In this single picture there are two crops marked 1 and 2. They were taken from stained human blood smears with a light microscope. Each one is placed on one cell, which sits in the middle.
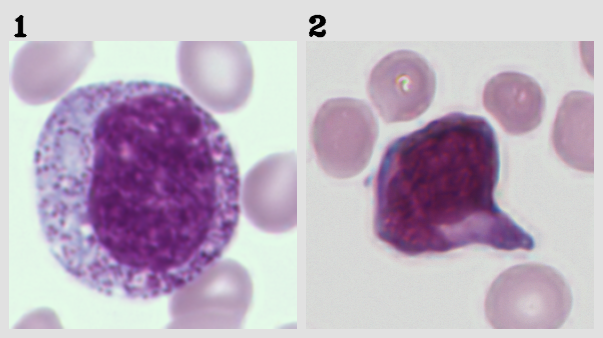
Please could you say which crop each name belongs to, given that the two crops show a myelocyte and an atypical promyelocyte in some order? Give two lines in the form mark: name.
1: myelocyte
2: atypical promyelocyte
